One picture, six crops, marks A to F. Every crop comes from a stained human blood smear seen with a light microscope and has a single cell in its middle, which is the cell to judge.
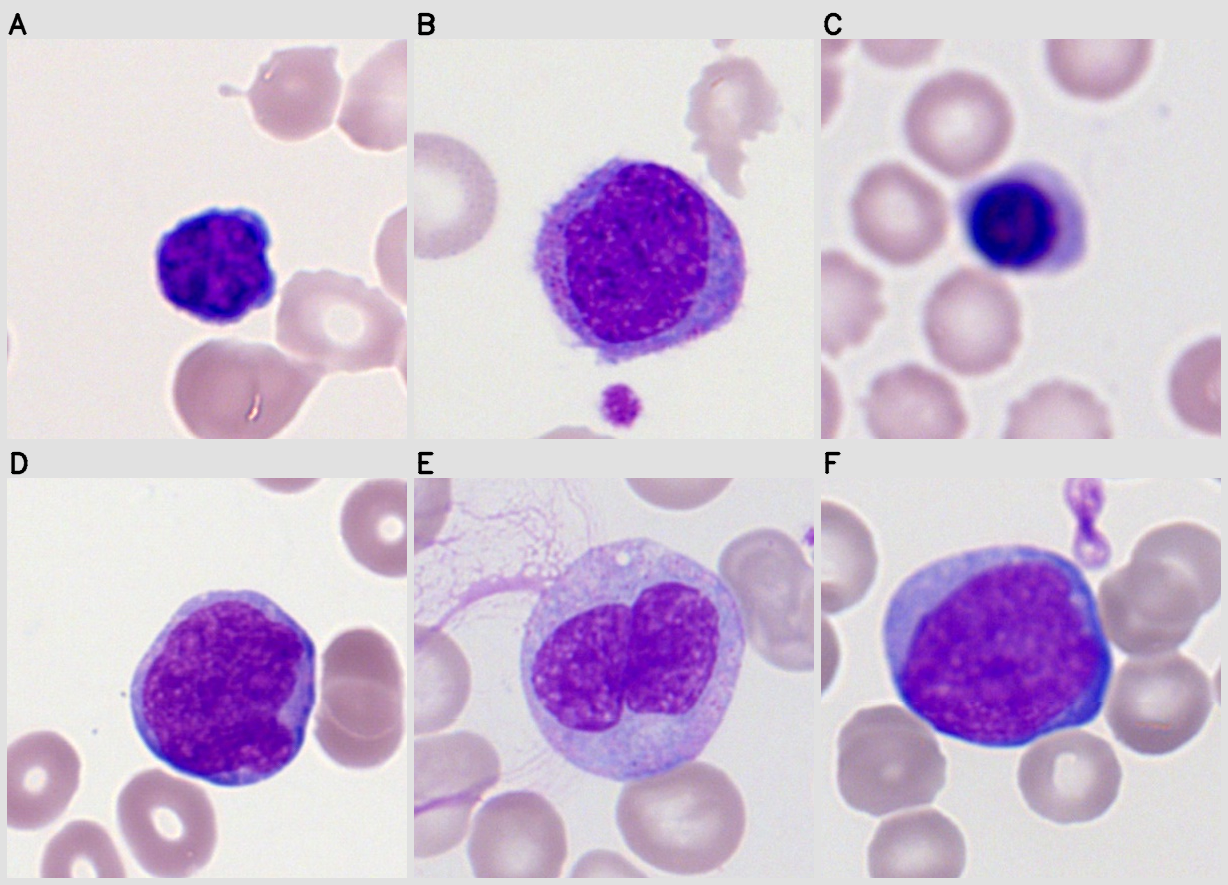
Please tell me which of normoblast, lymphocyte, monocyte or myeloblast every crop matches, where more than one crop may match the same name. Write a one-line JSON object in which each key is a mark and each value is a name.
{"A": "lymphocyte", "B": "monocyte", "C": "normoblast", "D": "myeloblast", "E": "monocyte", "F": "myeloblast"}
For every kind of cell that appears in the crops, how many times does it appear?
monocyte: 2
myeloblast: 2
lymphocyte: 1
normoblast: 1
